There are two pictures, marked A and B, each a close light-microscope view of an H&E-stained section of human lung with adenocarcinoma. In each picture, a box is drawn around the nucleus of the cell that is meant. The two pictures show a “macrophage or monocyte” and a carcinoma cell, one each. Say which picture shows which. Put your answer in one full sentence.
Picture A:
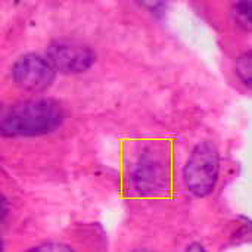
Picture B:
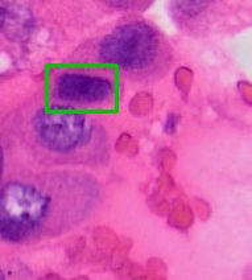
Picture A shows a “macrophage or monocyte” and picture B shows a carcinoma cell.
